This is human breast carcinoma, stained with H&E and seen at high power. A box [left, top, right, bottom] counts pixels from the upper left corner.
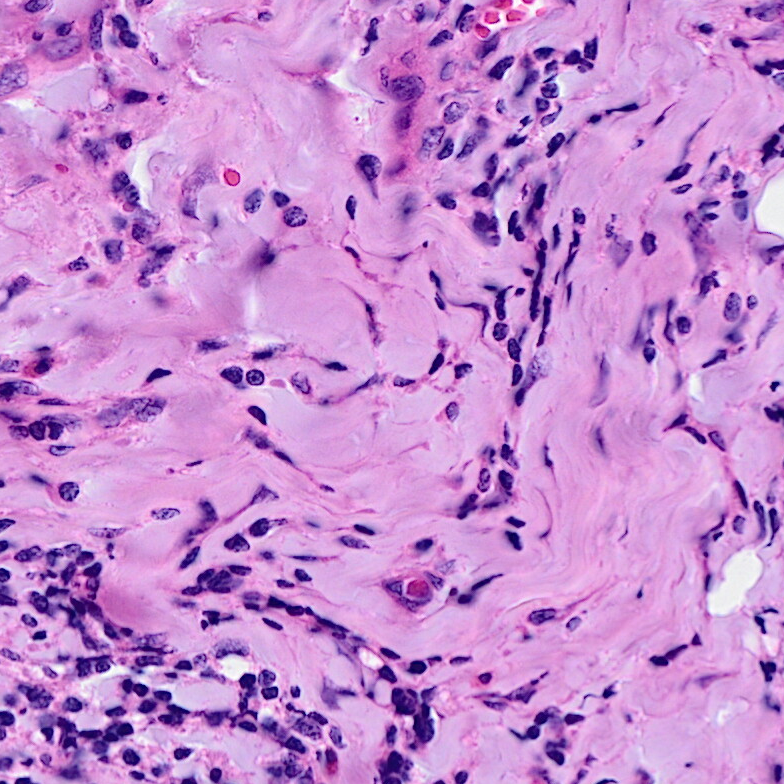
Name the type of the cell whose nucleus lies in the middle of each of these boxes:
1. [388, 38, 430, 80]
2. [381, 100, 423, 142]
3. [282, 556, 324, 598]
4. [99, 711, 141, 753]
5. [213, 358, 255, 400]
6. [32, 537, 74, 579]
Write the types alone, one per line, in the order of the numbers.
endothelial cell
endothelial cell
lymphocyte
lymphocyte
lymphocyte
lymphocyte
